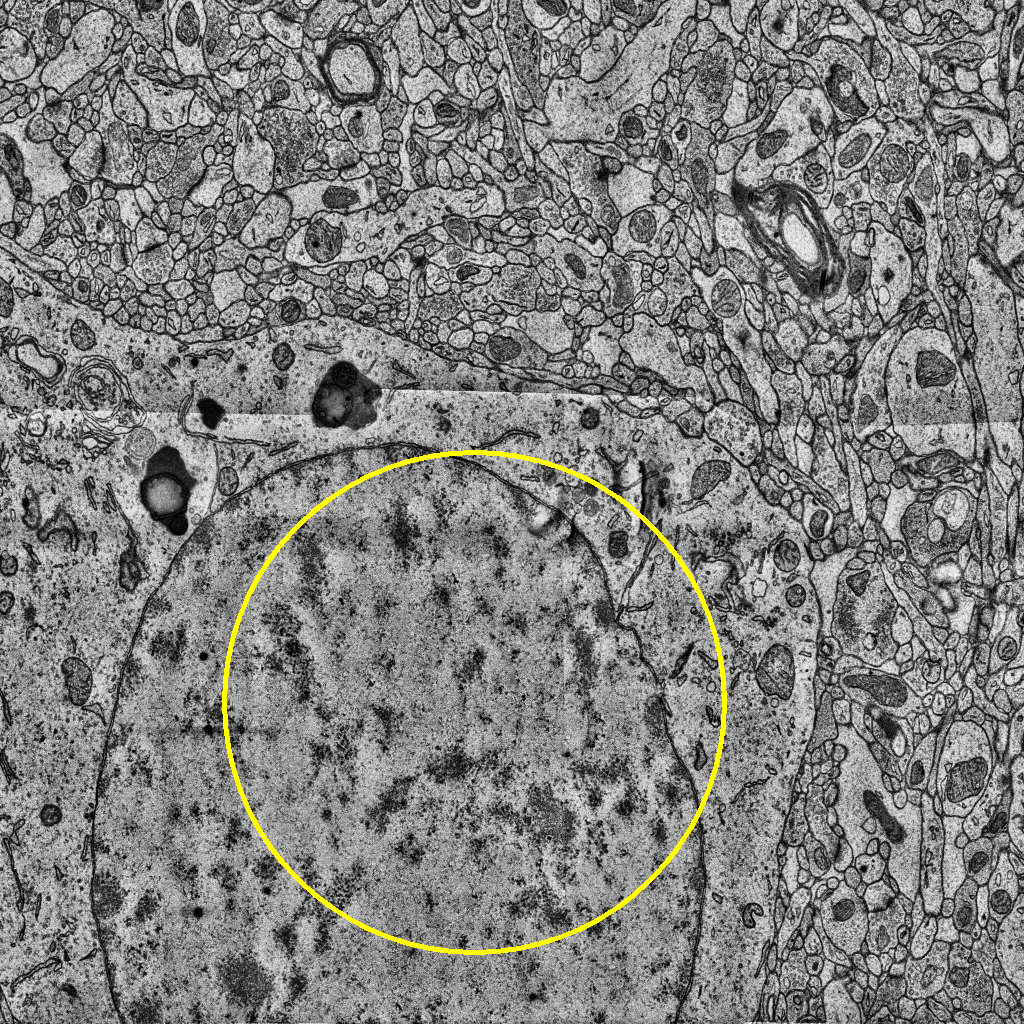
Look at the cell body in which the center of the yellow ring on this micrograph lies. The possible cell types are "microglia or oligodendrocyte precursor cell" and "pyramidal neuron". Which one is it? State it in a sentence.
The cell at the middle of the ring is a pyramidal neuron.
